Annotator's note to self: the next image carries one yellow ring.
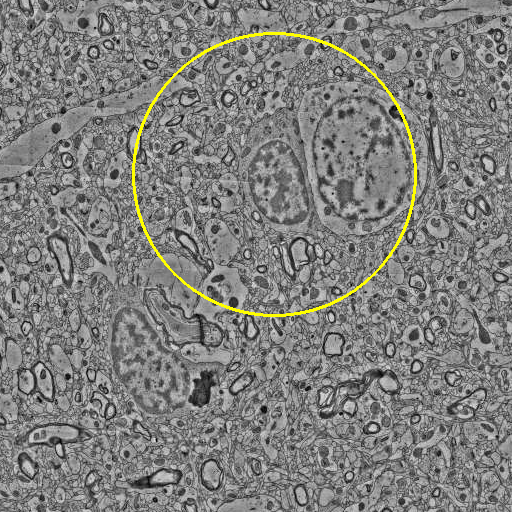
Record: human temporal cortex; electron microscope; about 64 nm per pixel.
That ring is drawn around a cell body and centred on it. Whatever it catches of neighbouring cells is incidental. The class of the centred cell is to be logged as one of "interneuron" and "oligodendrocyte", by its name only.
oligodendrocyte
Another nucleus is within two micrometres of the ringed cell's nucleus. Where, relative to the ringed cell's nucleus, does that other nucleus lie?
The second nucleus lies to the upper right of it.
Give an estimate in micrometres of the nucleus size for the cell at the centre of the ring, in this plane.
Roughly 5 by 4 micrometres in this plane, for the nucleus of the ringed cell.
